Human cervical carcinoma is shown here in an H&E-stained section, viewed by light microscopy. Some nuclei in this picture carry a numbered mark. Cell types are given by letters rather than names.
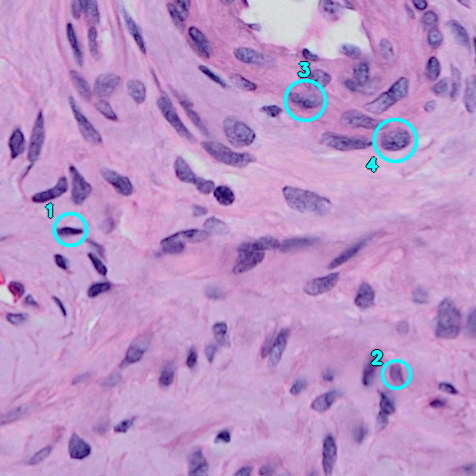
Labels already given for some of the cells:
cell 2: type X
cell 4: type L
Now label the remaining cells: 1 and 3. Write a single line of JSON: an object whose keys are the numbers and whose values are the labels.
{"1": "type X", "3": "type L"}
